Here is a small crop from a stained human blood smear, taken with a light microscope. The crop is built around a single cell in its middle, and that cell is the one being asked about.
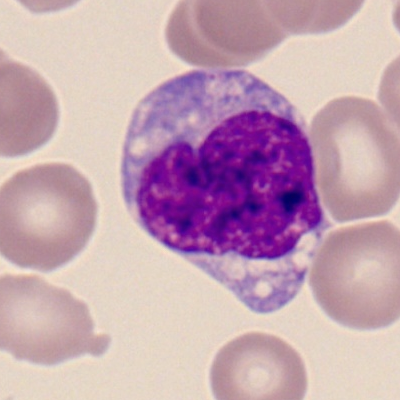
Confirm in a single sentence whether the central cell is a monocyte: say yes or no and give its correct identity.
Yes, the middle cell in this crop is a monocyte.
